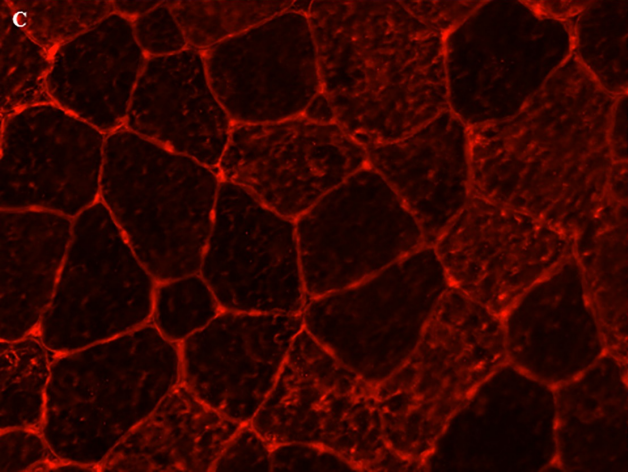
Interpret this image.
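This is a cross-section of muscle fibers, seen as tightly packed polygonal profiles in red fluorescence. Some fibers have a speckled, moderately red interior. Others are nearly dark inside and show only their red outline. Small bright points sit where several fiber borders meet.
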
